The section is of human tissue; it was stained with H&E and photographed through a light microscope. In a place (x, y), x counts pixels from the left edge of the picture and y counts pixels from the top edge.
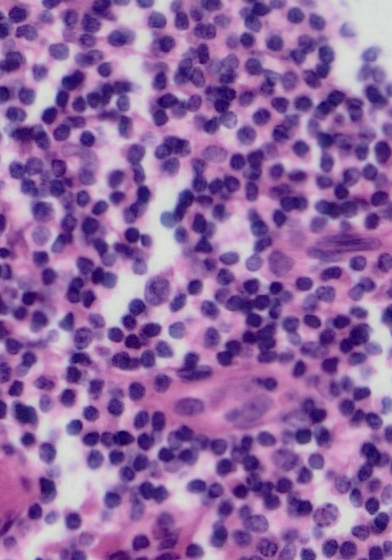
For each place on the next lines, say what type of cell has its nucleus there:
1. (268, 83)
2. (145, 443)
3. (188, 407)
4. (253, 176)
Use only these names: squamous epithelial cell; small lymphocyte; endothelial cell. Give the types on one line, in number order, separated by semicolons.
small lymphocyte; small lymphocyte; endothelial cell; small lymphocyte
